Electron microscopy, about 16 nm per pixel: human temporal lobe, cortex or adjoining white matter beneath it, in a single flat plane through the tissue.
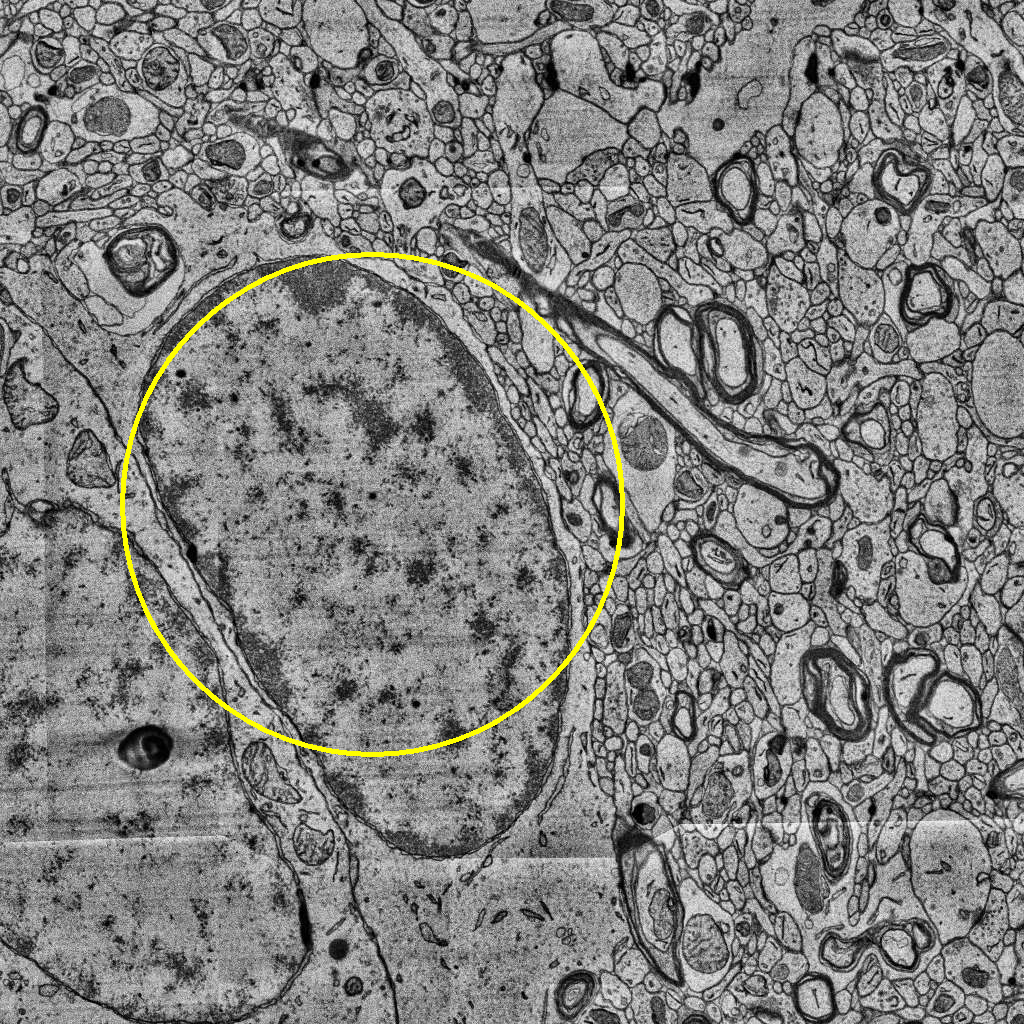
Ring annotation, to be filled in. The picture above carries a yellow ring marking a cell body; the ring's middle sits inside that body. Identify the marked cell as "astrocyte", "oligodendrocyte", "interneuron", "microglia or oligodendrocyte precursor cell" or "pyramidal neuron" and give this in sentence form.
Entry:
The cell at the middle of the ring is a microglial cell or oligodendrocyte precursor cell.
